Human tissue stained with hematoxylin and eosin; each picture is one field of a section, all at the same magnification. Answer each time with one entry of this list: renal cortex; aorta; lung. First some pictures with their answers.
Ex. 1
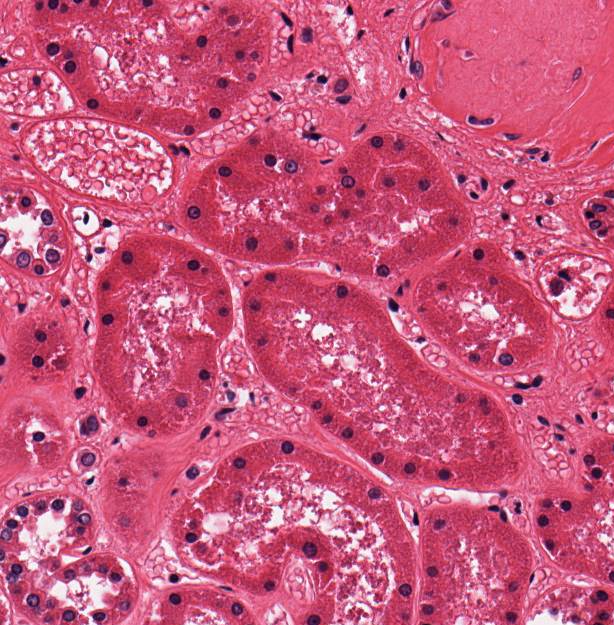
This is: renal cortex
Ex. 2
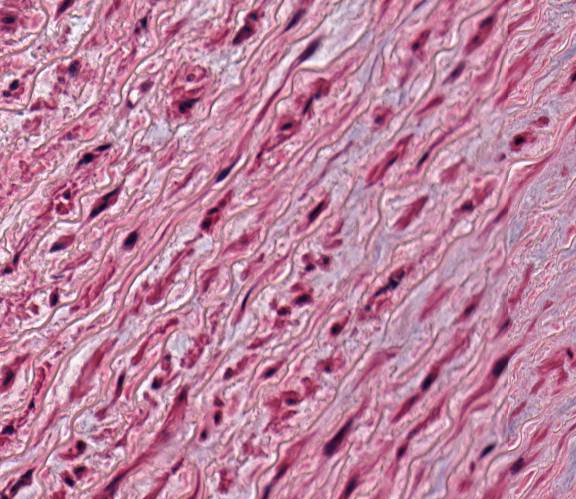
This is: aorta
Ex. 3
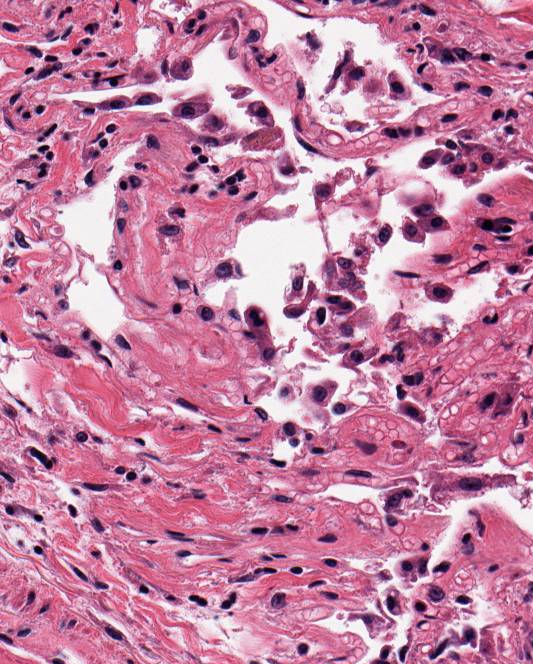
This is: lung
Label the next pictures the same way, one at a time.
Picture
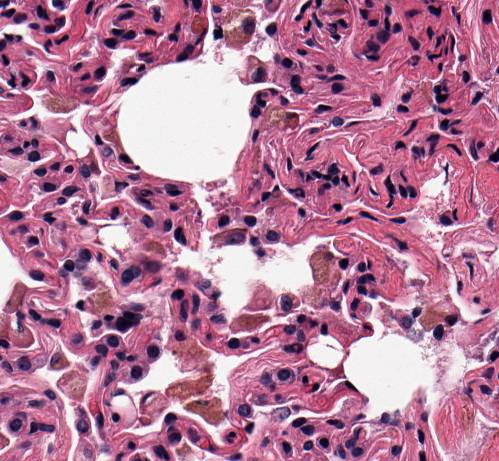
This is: lung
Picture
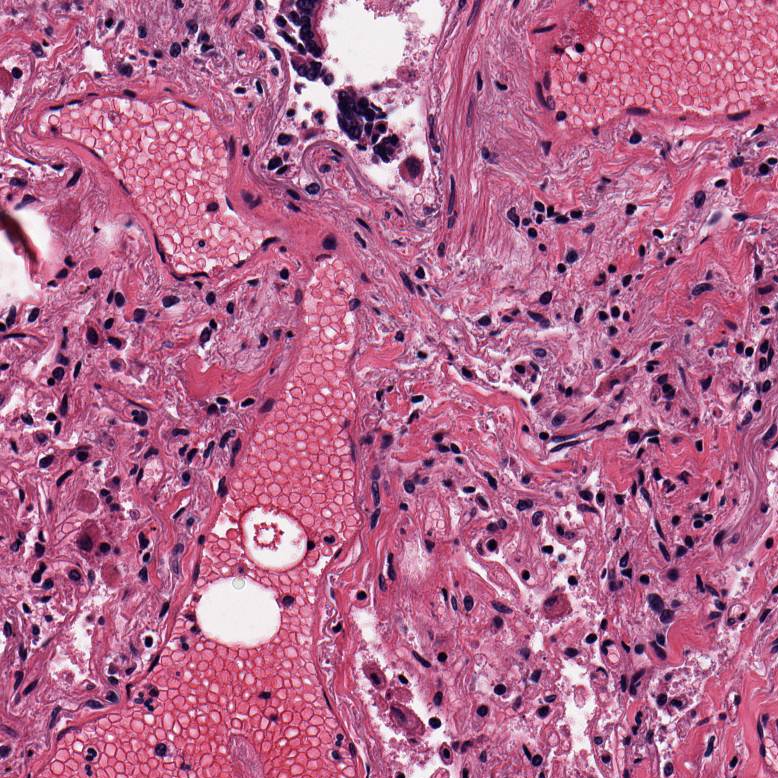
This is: lung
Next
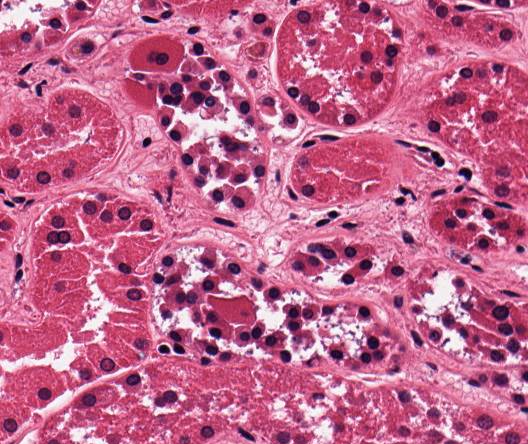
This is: renal cortex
